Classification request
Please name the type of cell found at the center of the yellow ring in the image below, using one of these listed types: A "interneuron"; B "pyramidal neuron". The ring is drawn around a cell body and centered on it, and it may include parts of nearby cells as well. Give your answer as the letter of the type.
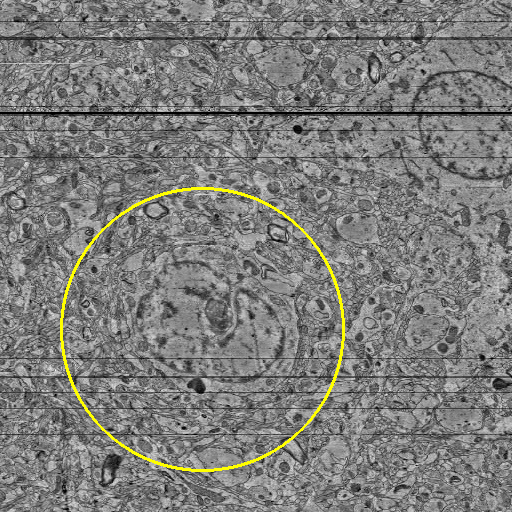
A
